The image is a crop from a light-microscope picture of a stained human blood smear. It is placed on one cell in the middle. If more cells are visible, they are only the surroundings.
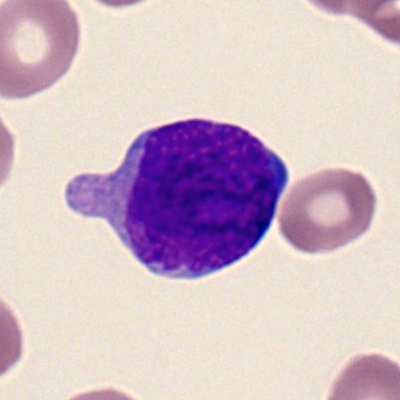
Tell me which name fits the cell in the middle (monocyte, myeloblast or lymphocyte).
myeloblast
